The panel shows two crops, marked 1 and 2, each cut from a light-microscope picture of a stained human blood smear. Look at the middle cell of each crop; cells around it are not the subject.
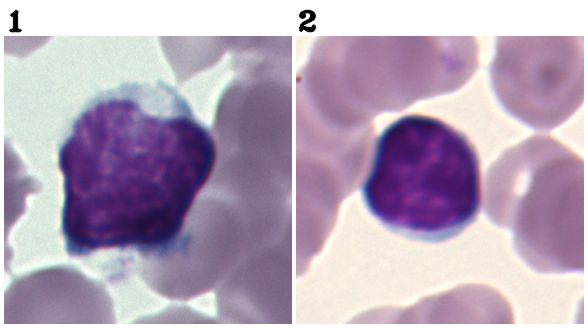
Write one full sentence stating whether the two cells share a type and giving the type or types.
Yes, both crops show typical lymphocytes, one in each.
